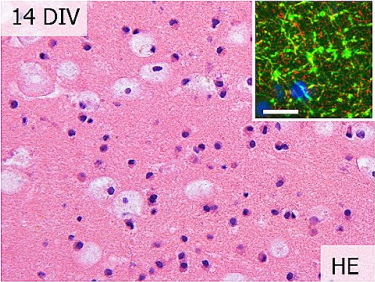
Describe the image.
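This section of brain tissue is crowded with large rounded microglia/macrophages lying in pink, finely textured neuropil. The macrophages have abundant pale, faintly vacuolated cytoplasm and small dark nuclei that often sit at one side of the cell. Between them lie many small cells with dense, dark round nuclei and little visible cytoplasm. The inset shows irregular, swollen green profiles with thin red threads running among them.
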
